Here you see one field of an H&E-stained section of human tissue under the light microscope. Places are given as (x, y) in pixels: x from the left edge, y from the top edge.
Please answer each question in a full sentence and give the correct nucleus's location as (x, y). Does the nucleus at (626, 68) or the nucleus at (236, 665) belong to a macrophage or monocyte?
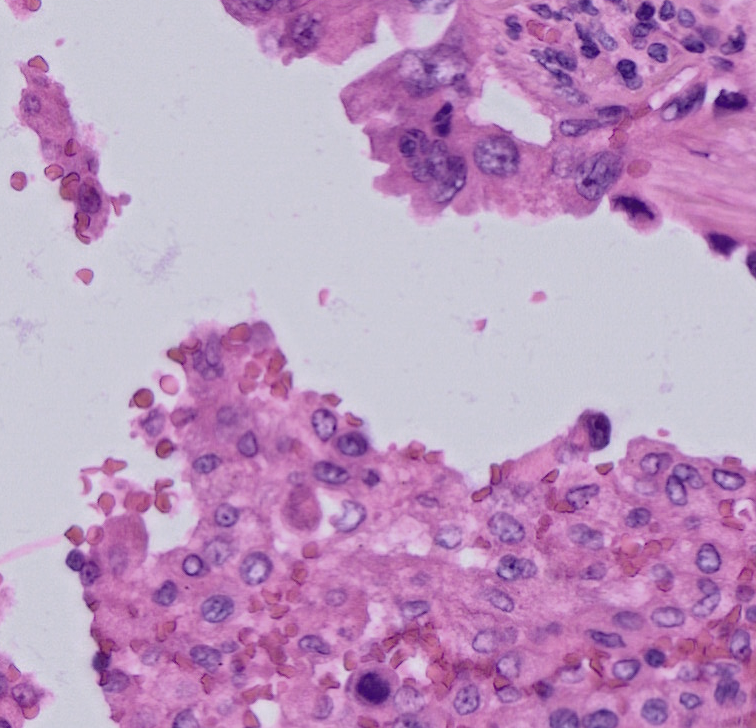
The nucleus whose position is (236, 665) belongs to a macrophage or monocyte.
